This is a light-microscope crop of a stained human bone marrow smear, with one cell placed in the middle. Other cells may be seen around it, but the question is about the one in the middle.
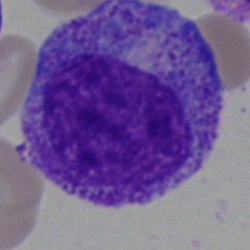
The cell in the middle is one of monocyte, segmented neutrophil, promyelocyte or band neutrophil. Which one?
promyelocyte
